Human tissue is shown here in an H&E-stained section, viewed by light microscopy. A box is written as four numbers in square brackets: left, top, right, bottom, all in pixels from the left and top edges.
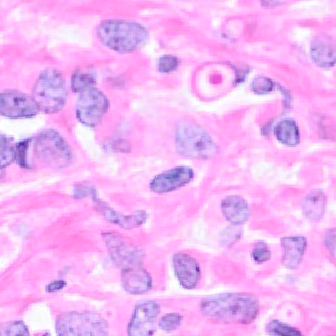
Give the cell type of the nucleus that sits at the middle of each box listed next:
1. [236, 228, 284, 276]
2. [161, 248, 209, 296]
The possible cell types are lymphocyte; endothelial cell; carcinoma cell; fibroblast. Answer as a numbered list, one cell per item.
1. lymphocyte
2. carcinoma cell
